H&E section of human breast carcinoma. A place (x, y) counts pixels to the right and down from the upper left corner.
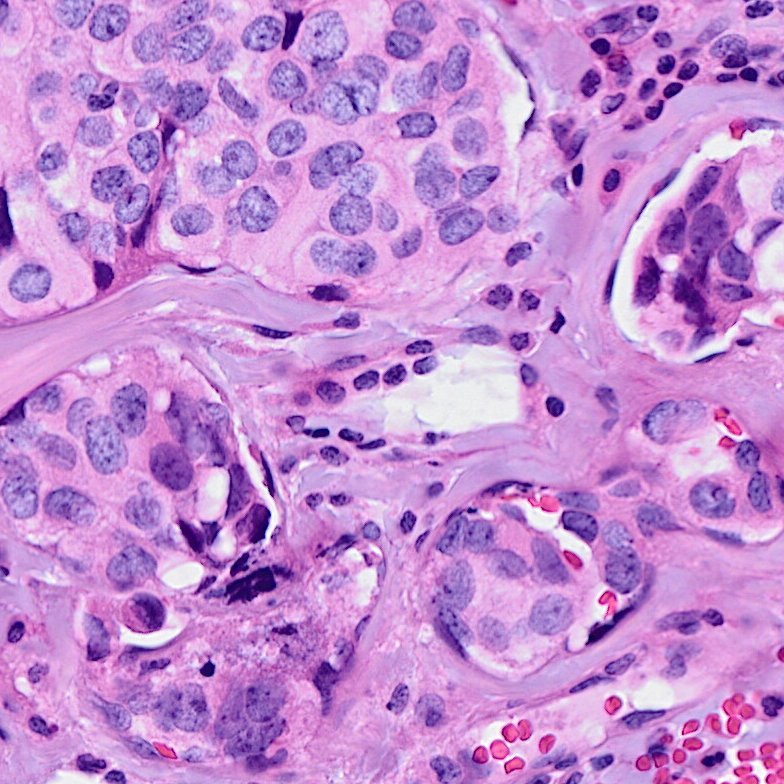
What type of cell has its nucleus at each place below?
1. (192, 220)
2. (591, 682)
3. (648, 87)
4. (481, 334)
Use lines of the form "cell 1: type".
cell 1: carcinoma cell
cell 2: endothelial cell
cell 3: lymphocyte
cell 4: fibroblast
